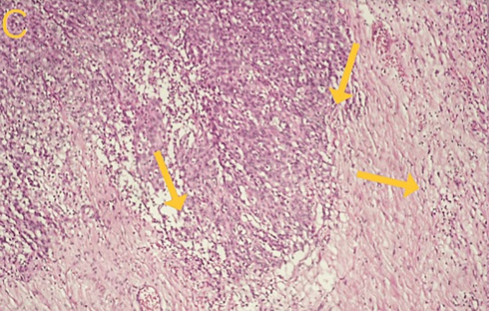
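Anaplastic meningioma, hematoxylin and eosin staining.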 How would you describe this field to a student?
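This is a tumor with a crowded, hypercellular region of closely packed cells with purple nuclei. The region borders a paler pink area of wavy fibers in which only scattered nuclei lie. Small clear spaces and loose areas break up parts of the cellular tissue.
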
